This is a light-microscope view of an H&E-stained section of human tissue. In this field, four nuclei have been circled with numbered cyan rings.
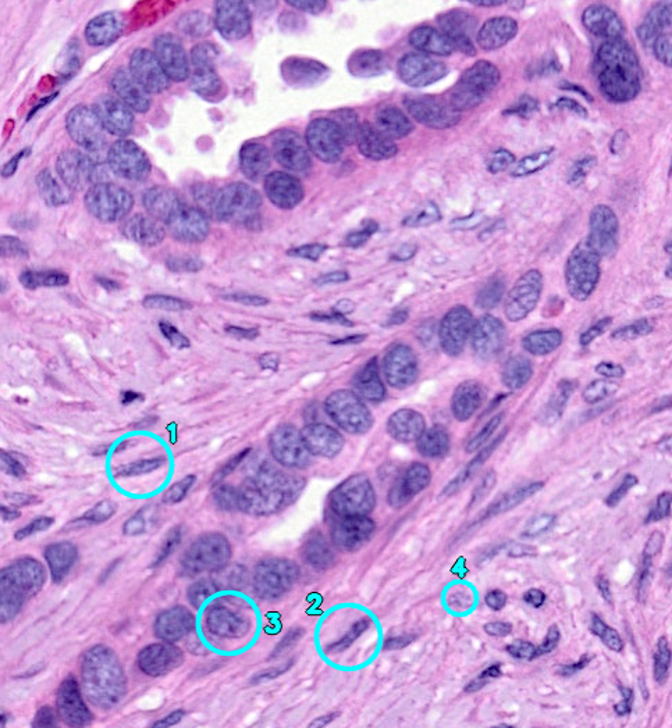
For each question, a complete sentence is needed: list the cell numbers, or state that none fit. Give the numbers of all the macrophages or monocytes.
Without exception, the numbered cells are not macrophages or monocytes.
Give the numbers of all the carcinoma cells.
Cell 3 is a carcinoma cell, and that holds for no other numbered cell.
